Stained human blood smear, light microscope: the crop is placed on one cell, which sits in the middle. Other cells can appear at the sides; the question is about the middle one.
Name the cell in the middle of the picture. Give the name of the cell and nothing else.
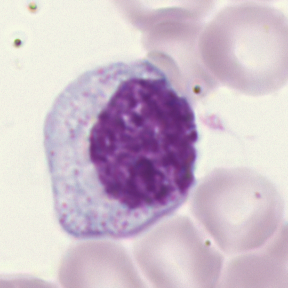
myelocyte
